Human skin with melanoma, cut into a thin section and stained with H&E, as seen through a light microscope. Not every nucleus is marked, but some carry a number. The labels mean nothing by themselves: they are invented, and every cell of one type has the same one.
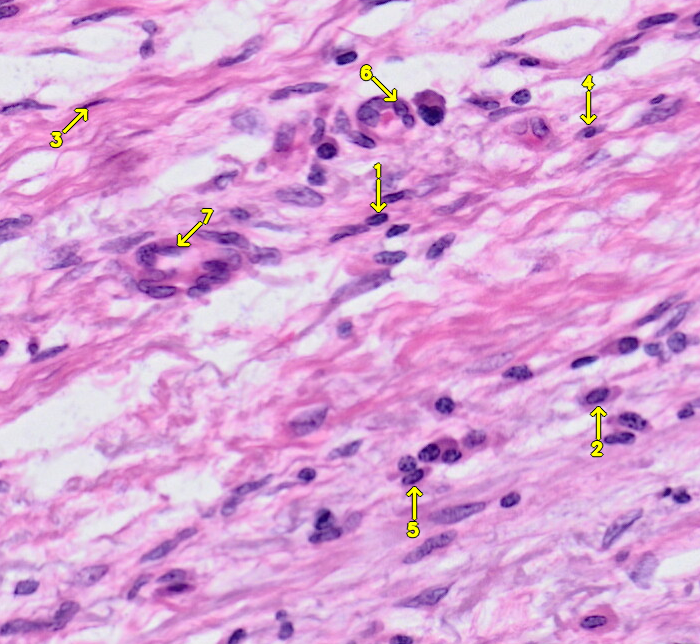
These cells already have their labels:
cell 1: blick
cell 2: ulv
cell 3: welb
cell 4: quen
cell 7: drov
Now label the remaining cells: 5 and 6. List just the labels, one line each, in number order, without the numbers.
ulv
drov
